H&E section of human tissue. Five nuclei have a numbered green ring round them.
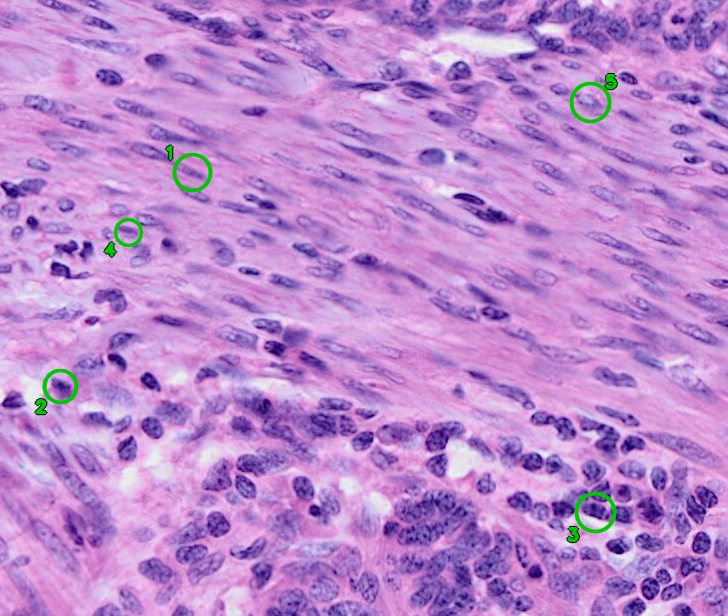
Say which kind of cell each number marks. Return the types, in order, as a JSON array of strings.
["smooth muscle cell", "lymphocyte", "lymphocyte", "smooth muscle cell", "smooth muscle cell"]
